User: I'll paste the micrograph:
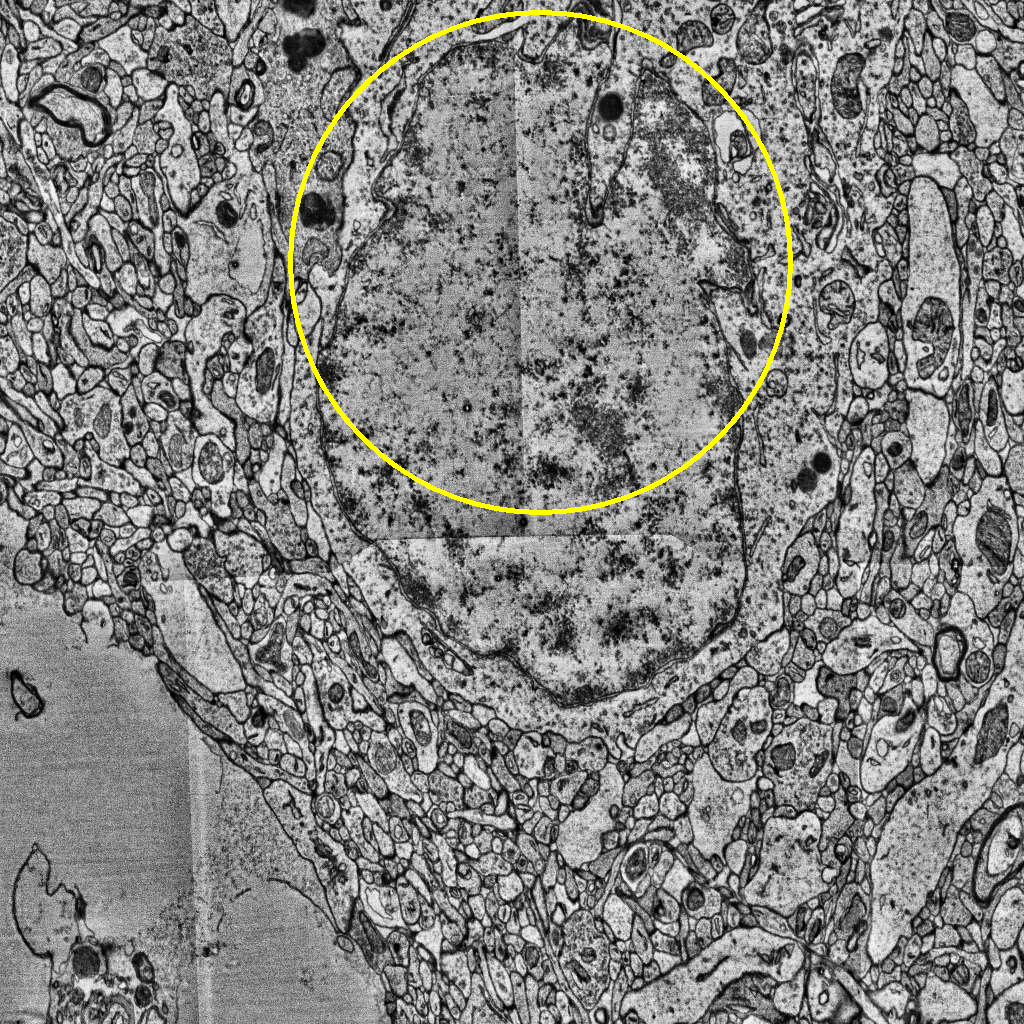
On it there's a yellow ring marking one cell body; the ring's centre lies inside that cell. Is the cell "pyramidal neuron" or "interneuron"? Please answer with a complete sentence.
The cell at the centre of the yellow ring is an interneuron.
